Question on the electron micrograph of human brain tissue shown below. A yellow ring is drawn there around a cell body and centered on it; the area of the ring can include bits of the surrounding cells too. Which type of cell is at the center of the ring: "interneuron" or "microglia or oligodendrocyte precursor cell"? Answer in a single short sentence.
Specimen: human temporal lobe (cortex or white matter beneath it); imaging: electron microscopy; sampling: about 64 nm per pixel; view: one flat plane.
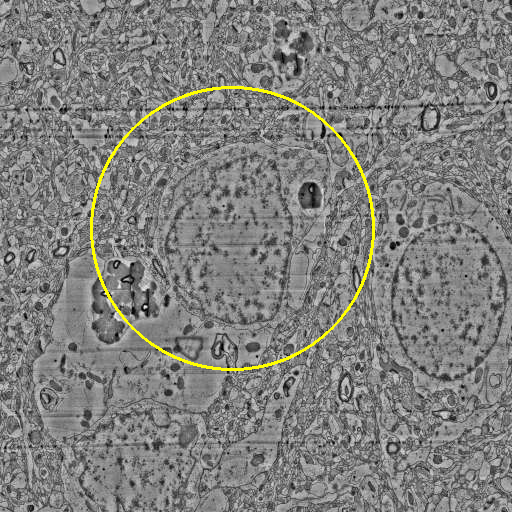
The ring is centered on an interneuron.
